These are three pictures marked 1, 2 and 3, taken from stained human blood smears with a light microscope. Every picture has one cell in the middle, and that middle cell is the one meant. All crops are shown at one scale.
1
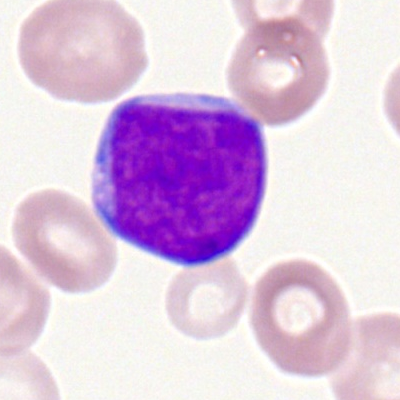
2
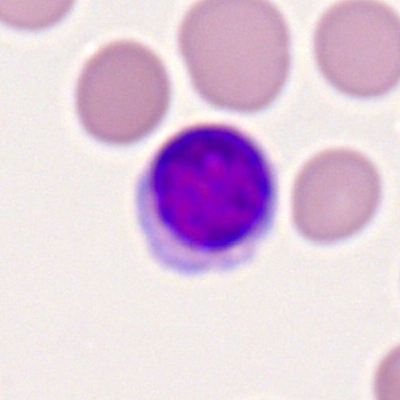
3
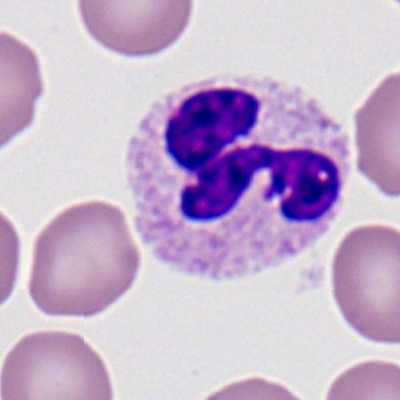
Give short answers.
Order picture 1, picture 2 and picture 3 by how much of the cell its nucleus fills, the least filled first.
3, 2, 1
